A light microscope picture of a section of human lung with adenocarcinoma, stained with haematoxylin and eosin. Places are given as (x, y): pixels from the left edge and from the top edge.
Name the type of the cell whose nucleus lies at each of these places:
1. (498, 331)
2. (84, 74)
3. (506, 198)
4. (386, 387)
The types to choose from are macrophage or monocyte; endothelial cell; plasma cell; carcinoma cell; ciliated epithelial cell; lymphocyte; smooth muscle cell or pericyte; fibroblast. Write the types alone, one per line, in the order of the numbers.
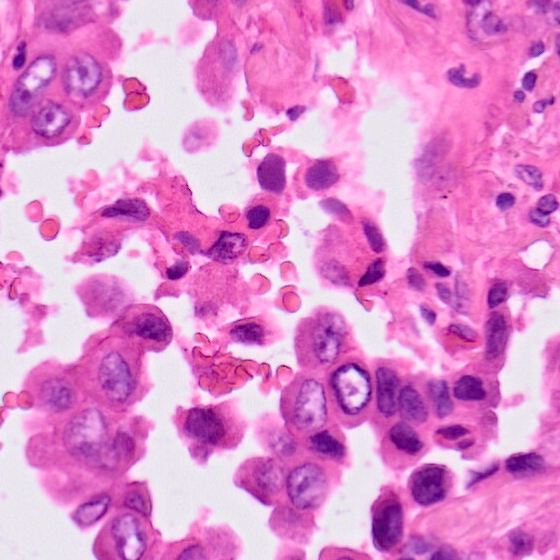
carcinoma cell
carcinoma cell
lymphocyte
carcinoma cell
